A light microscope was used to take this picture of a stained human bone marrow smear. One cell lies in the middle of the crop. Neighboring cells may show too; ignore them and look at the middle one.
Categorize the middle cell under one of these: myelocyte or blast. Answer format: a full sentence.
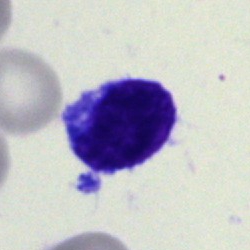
The cell featured at the centre of this crop is a blast.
